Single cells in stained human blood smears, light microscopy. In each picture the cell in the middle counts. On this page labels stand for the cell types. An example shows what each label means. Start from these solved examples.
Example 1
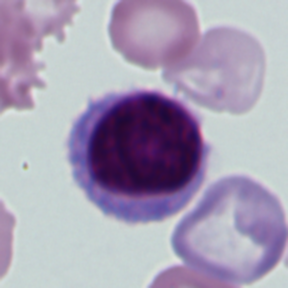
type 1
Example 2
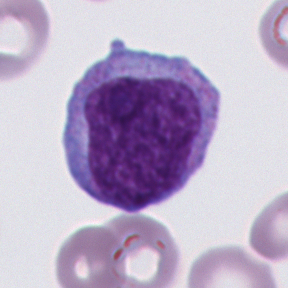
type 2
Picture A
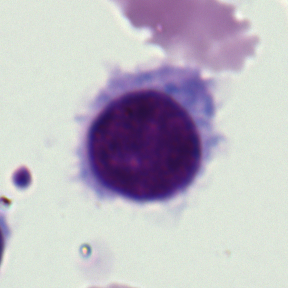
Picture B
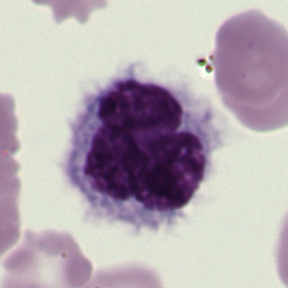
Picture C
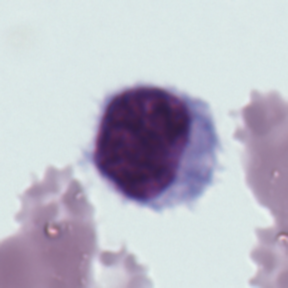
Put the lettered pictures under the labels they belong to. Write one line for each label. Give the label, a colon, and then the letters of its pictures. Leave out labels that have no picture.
type 1: A, B, C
